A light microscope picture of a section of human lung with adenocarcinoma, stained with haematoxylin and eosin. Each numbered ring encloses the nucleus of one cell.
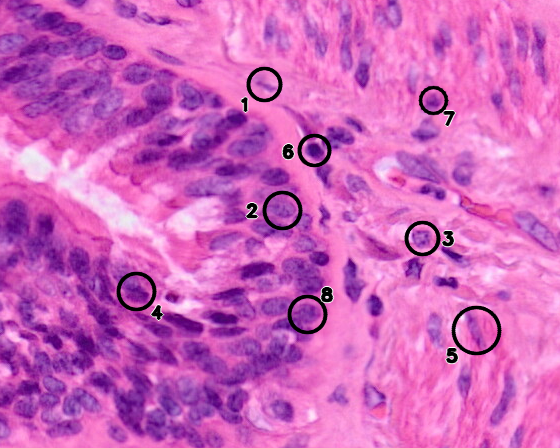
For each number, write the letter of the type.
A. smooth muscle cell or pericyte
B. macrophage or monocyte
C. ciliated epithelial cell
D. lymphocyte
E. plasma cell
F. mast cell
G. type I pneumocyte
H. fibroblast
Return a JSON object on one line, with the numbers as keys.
{"1": "H", "2": "C", "3": "F", "4": "C", "5": "A", "6": "D", "7": "A", "8": "C"}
